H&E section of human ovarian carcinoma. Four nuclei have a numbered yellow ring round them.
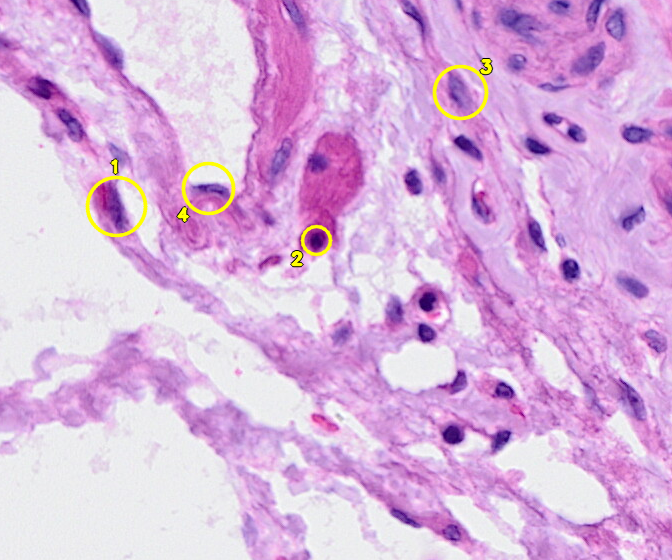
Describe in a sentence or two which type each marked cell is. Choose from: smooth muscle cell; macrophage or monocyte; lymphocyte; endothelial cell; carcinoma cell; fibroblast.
Cell 1 is an endothelial cell, cell 2 is a smooth muscle cell, cell 3 is an endothelial cell and cell 4 is an endothelial cell.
